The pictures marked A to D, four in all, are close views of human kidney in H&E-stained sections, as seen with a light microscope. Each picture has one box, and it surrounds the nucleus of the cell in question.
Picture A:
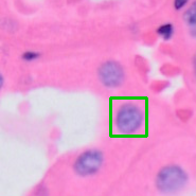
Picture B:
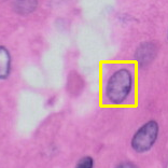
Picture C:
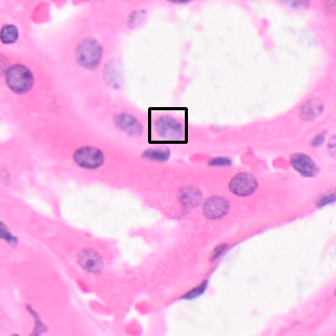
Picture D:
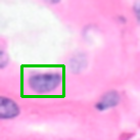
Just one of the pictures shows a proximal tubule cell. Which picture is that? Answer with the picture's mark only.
B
